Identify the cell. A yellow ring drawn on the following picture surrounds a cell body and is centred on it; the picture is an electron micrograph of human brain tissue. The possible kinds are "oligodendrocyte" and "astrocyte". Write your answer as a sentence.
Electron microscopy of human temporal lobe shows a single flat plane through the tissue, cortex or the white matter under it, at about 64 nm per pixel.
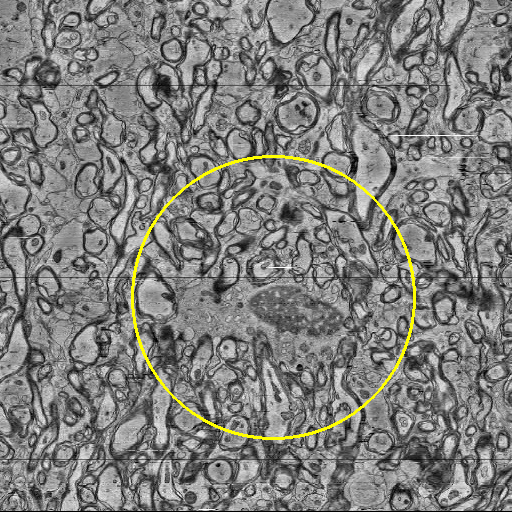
The cell identified by the ring is an oligodendrocyte.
